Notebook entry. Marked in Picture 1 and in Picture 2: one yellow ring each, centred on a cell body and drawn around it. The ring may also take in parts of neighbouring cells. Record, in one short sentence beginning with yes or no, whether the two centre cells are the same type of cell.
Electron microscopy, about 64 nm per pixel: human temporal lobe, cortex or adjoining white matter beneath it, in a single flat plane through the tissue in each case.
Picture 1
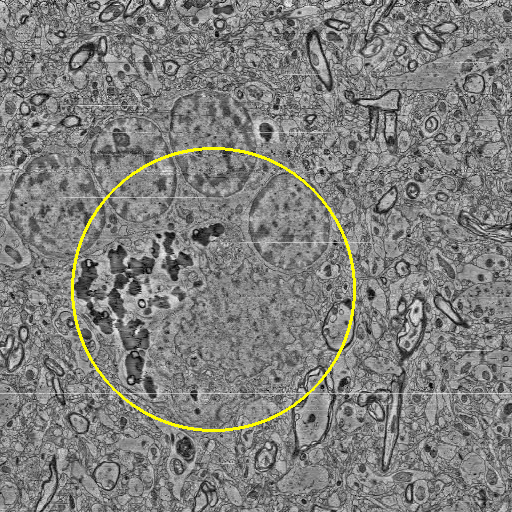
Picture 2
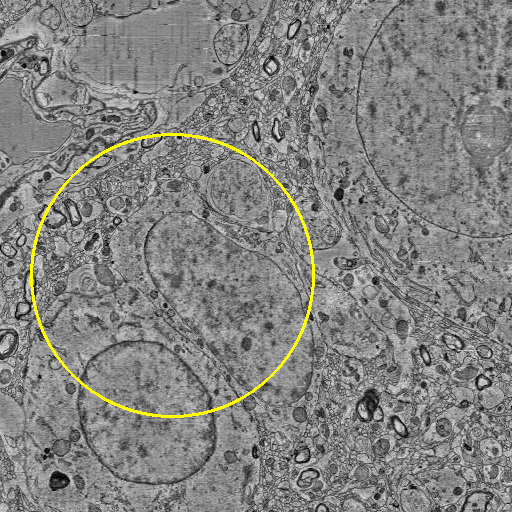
Yes, both are the same type of cell.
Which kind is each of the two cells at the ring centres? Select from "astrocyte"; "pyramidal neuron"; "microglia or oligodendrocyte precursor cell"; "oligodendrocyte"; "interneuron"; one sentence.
Each one of the two ringed cells is an interneuron.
